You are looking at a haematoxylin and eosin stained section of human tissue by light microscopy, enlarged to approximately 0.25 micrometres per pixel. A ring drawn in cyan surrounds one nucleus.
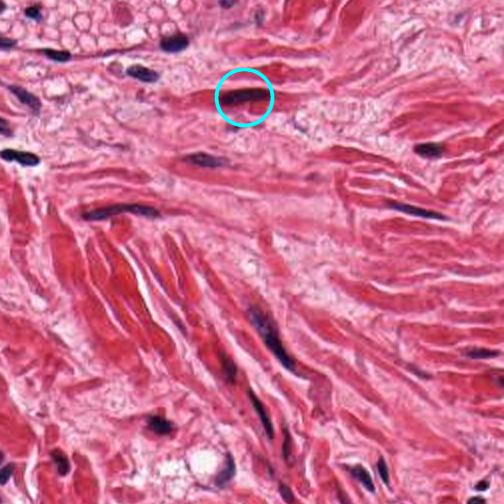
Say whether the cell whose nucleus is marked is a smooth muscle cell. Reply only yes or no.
yes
